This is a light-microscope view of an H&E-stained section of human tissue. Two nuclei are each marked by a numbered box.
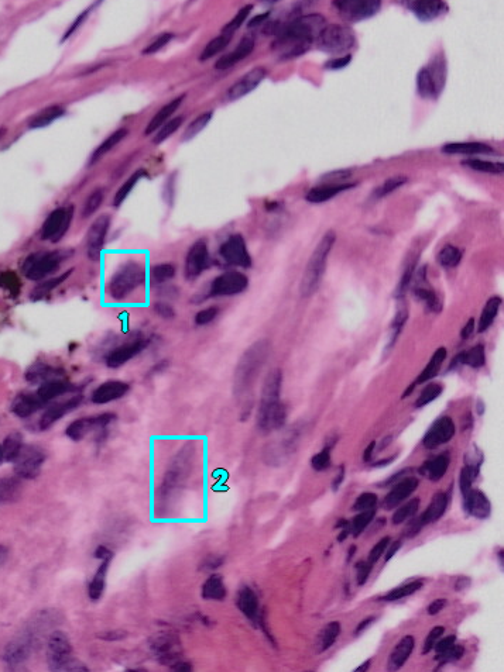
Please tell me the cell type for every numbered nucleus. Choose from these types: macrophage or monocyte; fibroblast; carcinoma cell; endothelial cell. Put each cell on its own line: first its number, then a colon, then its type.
1: carcinoma cell
2: fibroblast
